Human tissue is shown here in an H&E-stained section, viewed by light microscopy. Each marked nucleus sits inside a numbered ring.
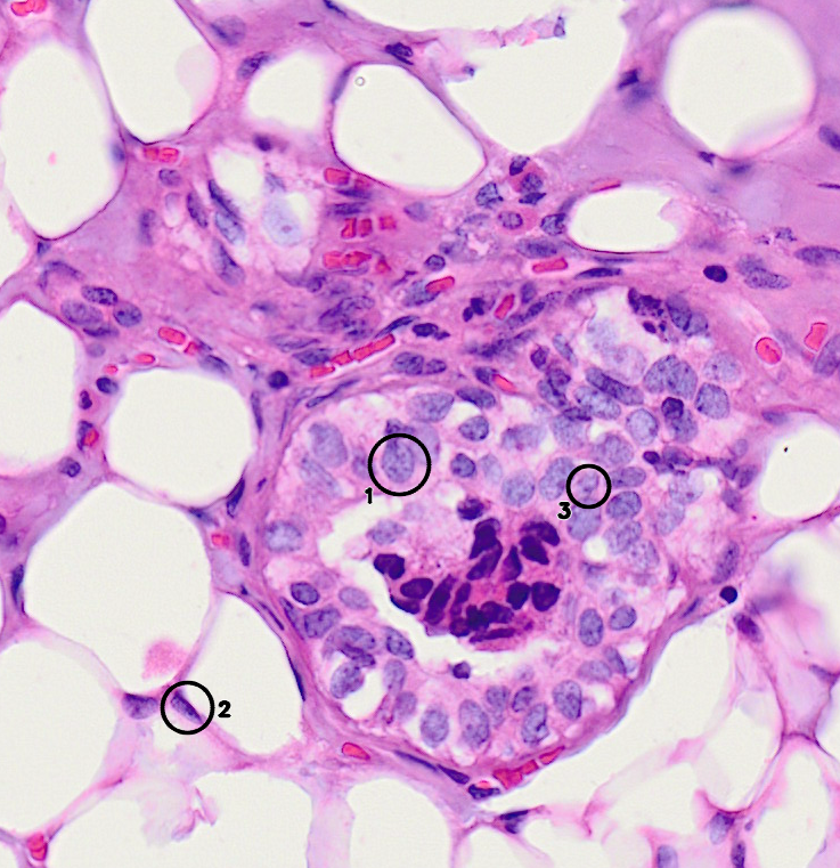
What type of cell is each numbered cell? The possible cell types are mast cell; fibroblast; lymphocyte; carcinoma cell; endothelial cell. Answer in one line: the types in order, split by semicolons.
carcinoma cell; fibroblast; carcinoma cell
